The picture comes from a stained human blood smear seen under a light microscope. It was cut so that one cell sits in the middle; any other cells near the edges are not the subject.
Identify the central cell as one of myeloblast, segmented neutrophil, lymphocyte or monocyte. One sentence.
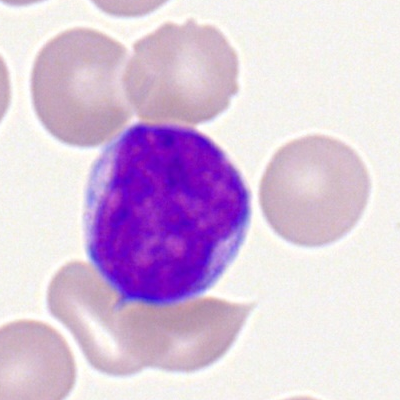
This particular crop is centered on a myeloblast.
